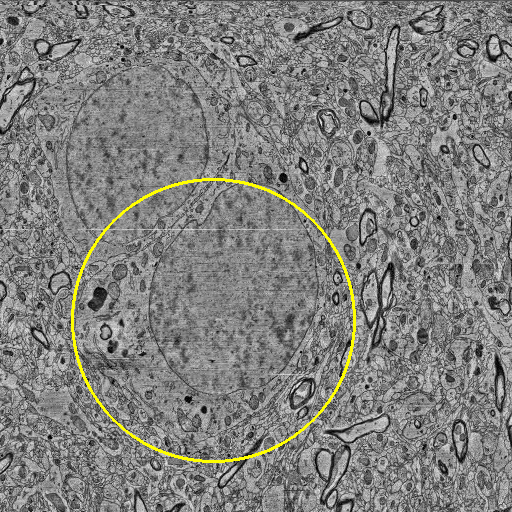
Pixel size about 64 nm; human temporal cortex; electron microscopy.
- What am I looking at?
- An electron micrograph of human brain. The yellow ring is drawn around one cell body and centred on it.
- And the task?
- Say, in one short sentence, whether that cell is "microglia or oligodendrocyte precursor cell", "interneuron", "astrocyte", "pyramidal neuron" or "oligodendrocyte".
The cell in the middle of the ring is a pyramidal neuron.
